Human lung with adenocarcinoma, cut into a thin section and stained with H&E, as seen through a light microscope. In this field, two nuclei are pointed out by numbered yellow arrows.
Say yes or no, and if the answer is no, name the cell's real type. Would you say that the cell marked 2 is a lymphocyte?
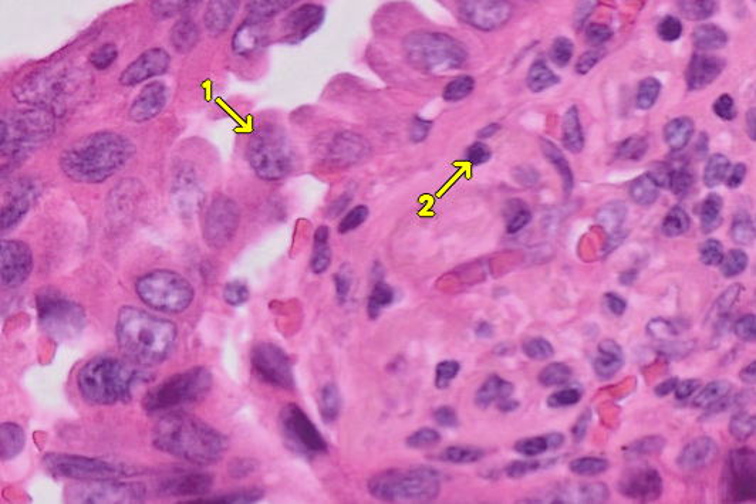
Yes.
